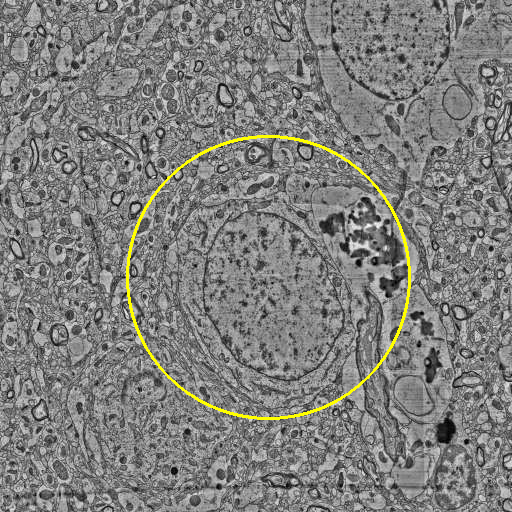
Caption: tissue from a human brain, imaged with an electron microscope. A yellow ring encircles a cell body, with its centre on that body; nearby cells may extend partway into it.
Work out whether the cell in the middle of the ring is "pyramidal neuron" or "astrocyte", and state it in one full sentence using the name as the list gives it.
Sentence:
In the picture, the cell that the yellow ring surrounds at its centre is a pyramidal neuron.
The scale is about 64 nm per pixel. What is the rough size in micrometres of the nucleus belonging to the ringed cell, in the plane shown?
The nucleus of the ringed cell is approximately 11 by 9 micrometres in this plane.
